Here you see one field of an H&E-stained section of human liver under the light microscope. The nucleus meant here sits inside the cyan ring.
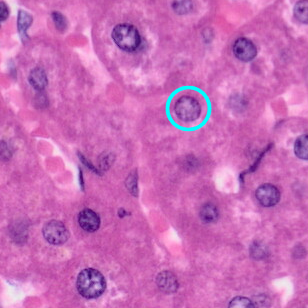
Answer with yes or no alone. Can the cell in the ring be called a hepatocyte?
yes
